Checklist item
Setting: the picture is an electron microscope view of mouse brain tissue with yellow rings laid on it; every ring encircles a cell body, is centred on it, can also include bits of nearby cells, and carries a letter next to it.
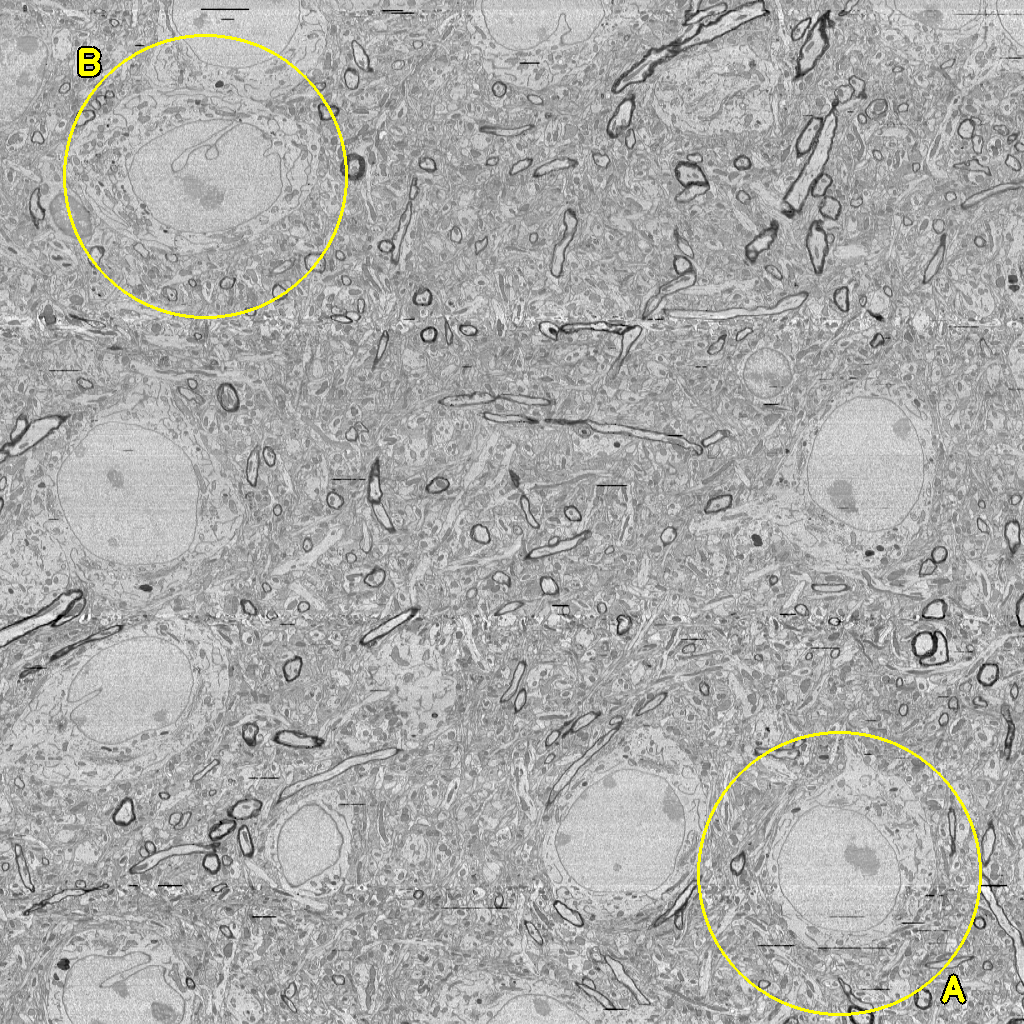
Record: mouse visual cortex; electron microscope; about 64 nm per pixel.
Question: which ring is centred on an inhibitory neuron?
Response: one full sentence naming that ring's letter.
My response is that ring B has the sought cell at its centre.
